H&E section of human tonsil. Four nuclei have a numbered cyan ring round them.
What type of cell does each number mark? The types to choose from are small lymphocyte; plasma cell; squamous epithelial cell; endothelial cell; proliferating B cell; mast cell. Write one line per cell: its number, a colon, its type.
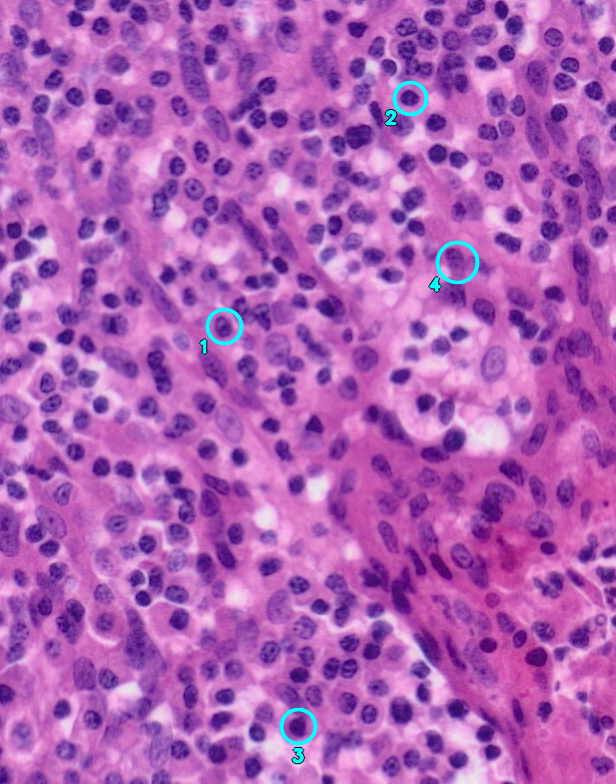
1: plasma cell
2: plasma cell
3: plasma cell
4: squamous epithelial cell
